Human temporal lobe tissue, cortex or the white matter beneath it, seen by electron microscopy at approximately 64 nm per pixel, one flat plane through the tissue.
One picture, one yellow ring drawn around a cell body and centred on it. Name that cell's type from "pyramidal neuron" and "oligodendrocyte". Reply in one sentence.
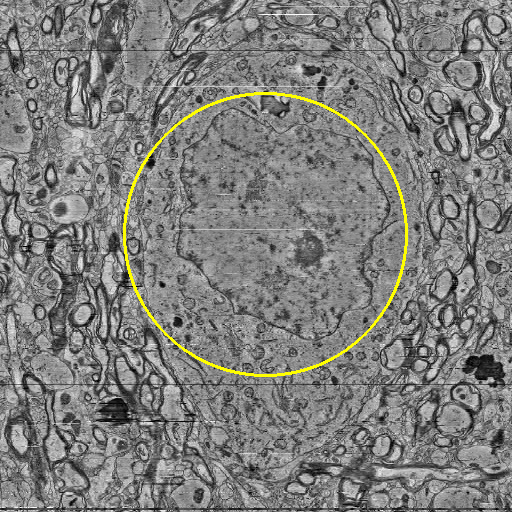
Centred in the ring is a pyramidal neuron.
